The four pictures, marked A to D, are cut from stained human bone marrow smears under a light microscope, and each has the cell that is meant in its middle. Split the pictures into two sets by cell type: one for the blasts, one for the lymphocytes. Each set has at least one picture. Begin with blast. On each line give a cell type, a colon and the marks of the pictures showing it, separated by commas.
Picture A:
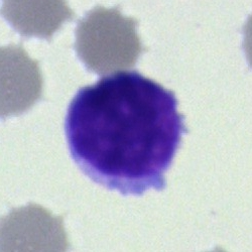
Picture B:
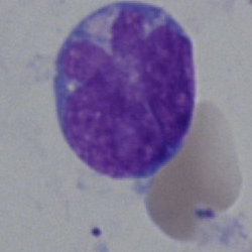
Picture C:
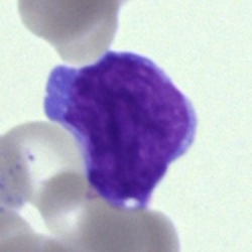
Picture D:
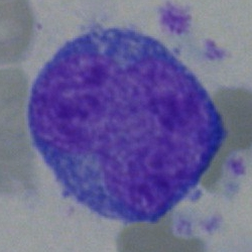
blast: B, C, D
lymphocyte: A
